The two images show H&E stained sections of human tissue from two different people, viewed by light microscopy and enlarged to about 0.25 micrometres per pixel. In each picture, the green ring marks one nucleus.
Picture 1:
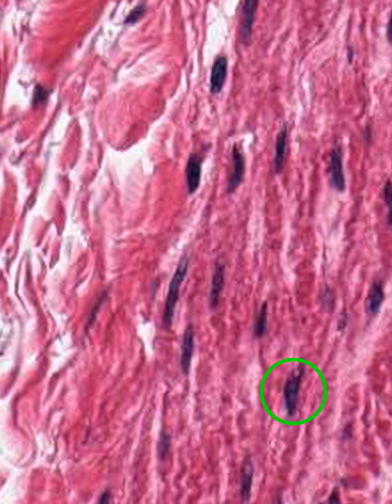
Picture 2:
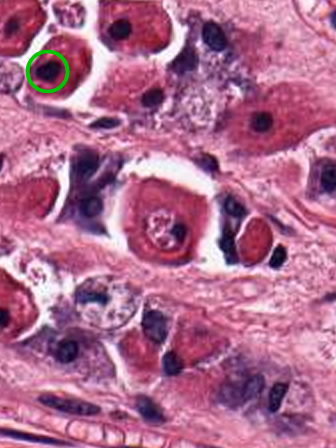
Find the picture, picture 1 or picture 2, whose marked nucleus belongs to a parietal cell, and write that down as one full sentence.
Shown in picture 2 is a marked nucleus belonging to a parietal cell.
